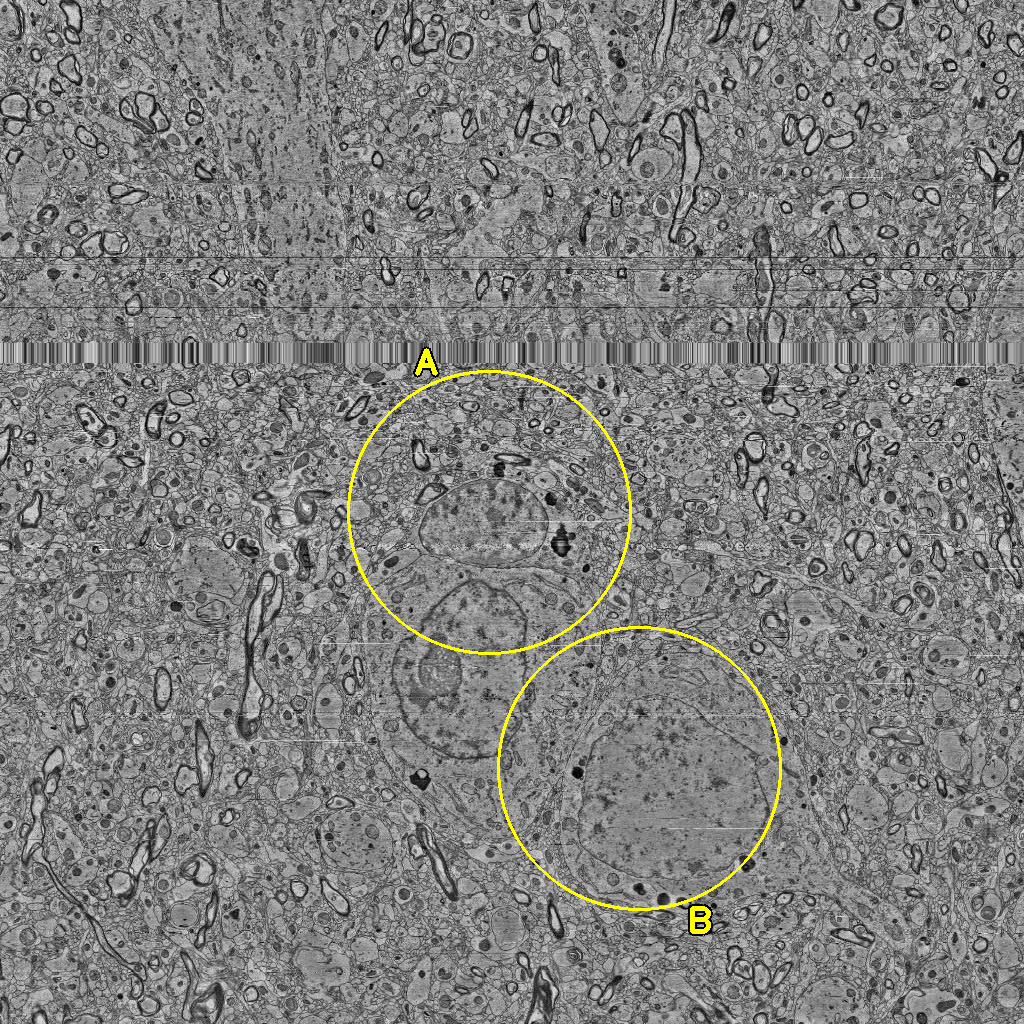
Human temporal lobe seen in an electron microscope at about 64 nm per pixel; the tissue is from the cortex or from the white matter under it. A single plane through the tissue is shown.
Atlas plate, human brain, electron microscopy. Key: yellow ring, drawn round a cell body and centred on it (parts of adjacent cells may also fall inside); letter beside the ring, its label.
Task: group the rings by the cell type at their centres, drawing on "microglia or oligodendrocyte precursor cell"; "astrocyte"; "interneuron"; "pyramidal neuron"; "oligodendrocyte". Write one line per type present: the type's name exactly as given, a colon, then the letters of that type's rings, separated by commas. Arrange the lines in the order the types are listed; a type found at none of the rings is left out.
pyramidal neuron: B
oligodendrocyte: A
